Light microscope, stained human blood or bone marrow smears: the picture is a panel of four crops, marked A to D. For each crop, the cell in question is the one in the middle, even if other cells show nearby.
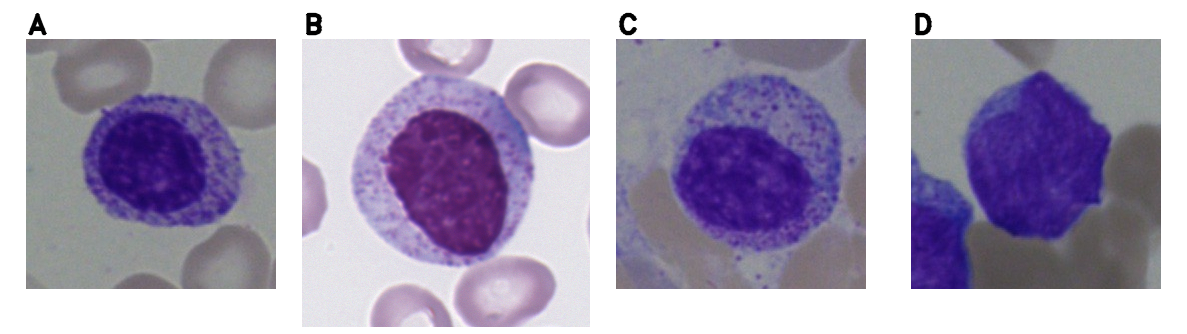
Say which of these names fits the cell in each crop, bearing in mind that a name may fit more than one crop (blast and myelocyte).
A: myelocyte
B: myelocyte
C: myelocyte
D: blast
